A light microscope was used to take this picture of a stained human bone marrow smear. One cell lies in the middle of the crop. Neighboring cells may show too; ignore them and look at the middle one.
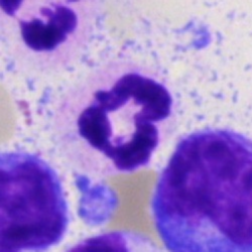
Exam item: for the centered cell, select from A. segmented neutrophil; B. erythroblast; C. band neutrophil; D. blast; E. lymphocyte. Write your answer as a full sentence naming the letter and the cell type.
The middle of the crop contains a segmented neutrophil, so option A is right.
